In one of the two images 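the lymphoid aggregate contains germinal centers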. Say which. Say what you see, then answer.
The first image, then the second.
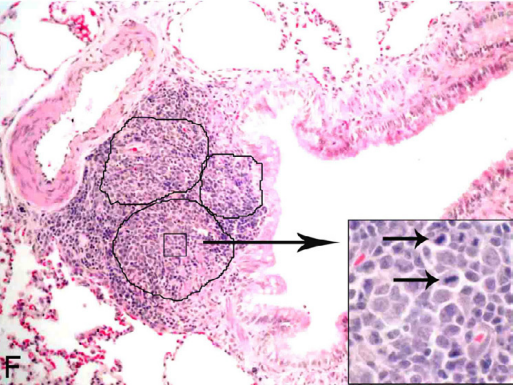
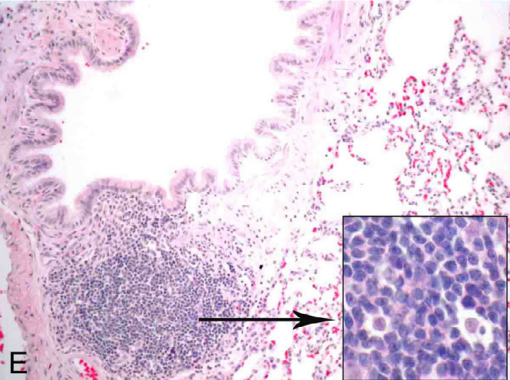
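The first image. First image: the lymphoid aggregate has several rounded zones of larger, paler cells. Second image: the lymphoid aggregate is uniformly made of small dark round cells.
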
